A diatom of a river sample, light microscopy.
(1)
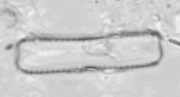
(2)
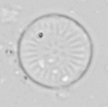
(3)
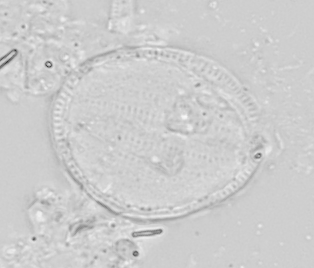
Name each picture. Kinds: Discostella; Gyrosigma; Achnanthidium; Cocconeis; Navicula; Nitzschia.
1: Achnanthidium
2: Discostella
3: Cocconeis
